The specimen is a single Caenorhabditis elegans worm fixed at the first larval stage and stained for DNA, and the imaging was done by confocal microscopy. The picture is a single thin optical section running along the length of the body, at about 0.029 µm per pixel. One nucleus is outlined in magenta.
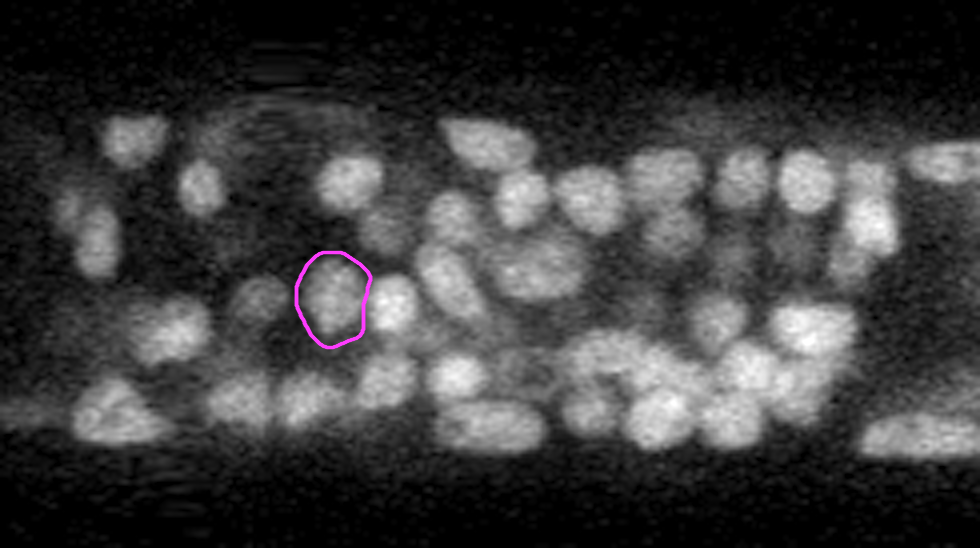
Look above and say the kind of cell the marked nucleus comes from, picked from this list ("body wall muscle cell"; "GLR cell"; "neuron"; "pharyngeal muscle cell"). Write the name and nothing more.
pharyngeal muscle cell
